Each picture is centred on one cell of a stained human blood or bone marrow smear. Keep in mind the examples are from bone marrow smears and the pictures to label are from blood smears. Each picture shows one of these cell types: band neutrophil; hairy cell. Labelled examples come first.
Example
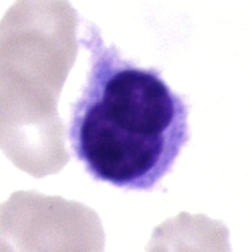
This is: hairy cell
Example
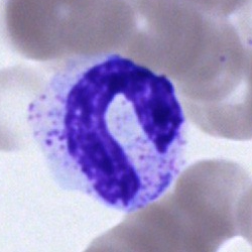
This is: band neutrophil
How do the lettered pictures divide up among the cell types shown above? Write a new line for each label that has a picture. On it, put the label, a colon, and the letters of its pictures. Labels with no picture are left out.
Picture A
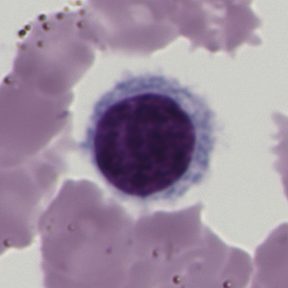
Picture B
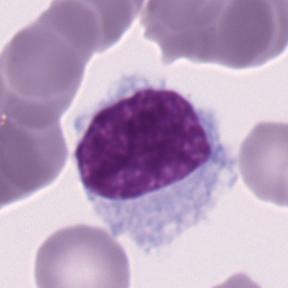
hairy cell: A, B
